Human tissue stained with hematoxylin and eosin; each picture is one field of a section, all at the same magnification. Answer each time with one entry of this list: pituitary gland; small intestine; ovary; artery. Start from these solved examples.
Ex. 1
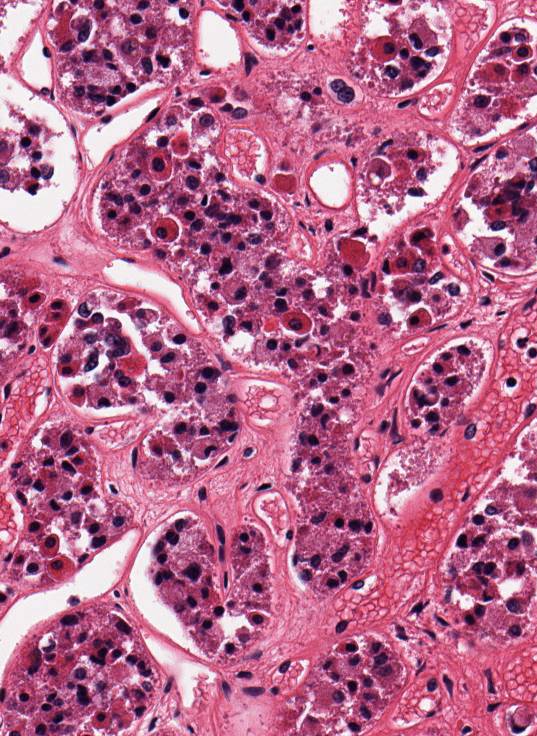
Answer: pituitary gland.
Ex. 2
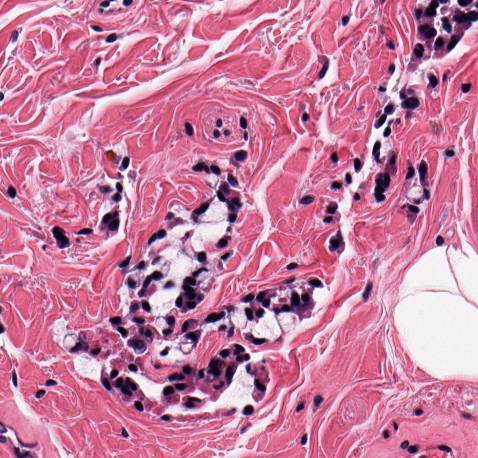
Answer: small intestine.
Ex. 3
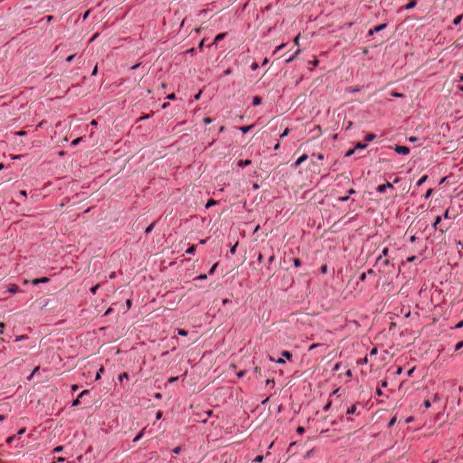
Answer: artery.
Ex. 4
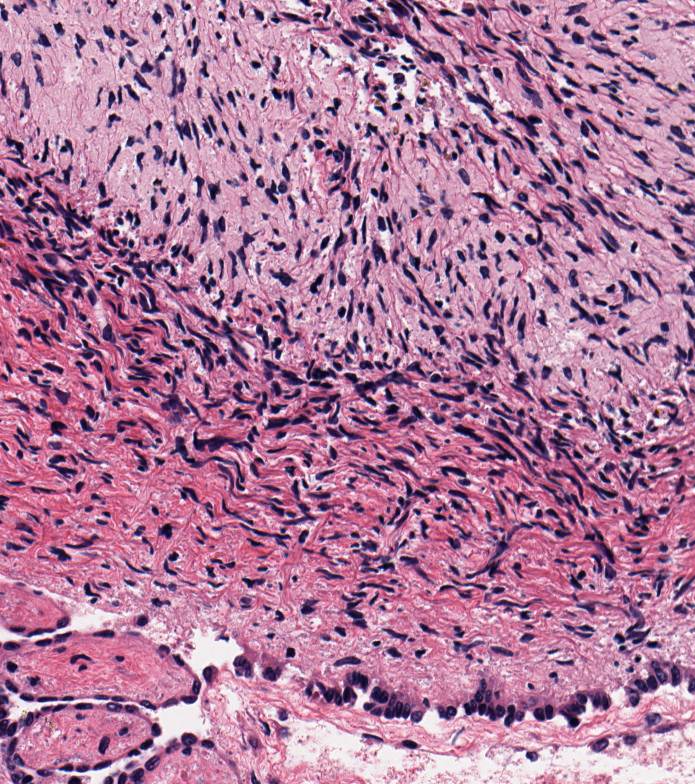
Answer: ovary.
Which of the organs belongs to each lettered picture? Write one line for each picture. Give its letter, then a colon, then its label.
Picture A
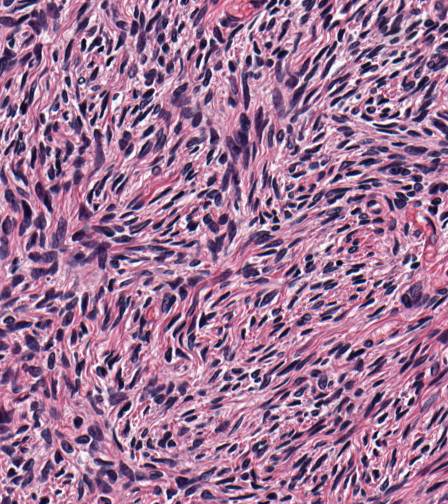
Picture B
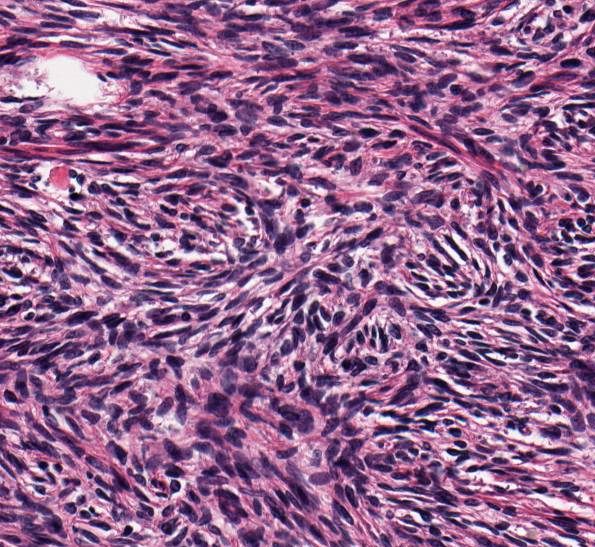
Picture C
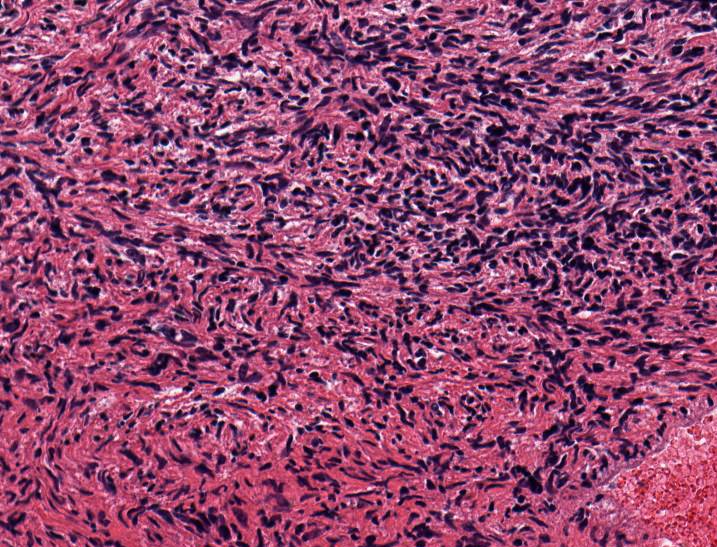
A: ovary.
B: ovary.
C: ovary.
